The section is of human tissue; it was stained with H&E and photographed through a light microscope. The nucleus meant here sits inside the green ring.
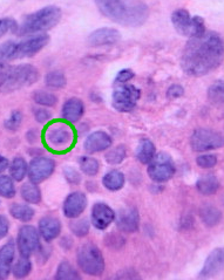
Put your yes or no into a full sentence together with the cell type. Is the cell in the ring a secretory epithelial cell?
Yes, the cell in the ring is, by its type, a secretory epithelial cell.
